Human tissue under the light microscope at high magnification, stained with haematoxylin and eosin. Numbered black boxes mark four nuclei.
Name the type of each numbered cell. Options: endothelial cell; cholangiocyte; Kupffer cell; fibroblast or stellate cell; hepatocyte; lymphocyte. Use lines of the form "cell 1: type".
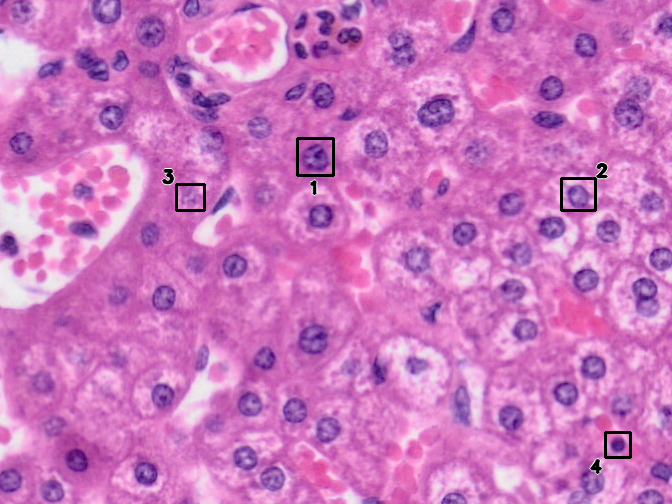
cell 1: hepatocyte
cell 2: hepatocyte
cell 3: hepatocyte
cell 4: lymphocyte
